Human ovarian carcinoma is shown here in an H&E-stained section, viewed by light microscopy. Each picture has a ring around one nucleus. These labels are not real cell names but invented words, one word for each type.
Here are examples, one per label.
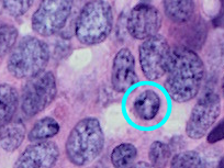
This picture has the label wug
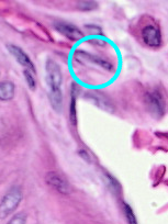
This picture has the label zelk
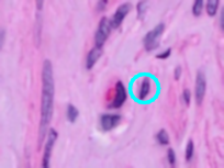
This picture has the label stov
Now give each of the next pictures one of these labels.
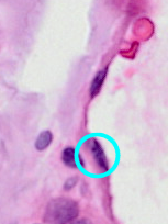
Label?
zelk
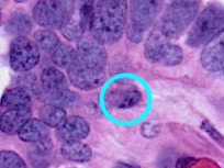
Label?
wug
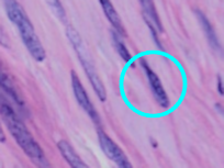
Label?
stov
